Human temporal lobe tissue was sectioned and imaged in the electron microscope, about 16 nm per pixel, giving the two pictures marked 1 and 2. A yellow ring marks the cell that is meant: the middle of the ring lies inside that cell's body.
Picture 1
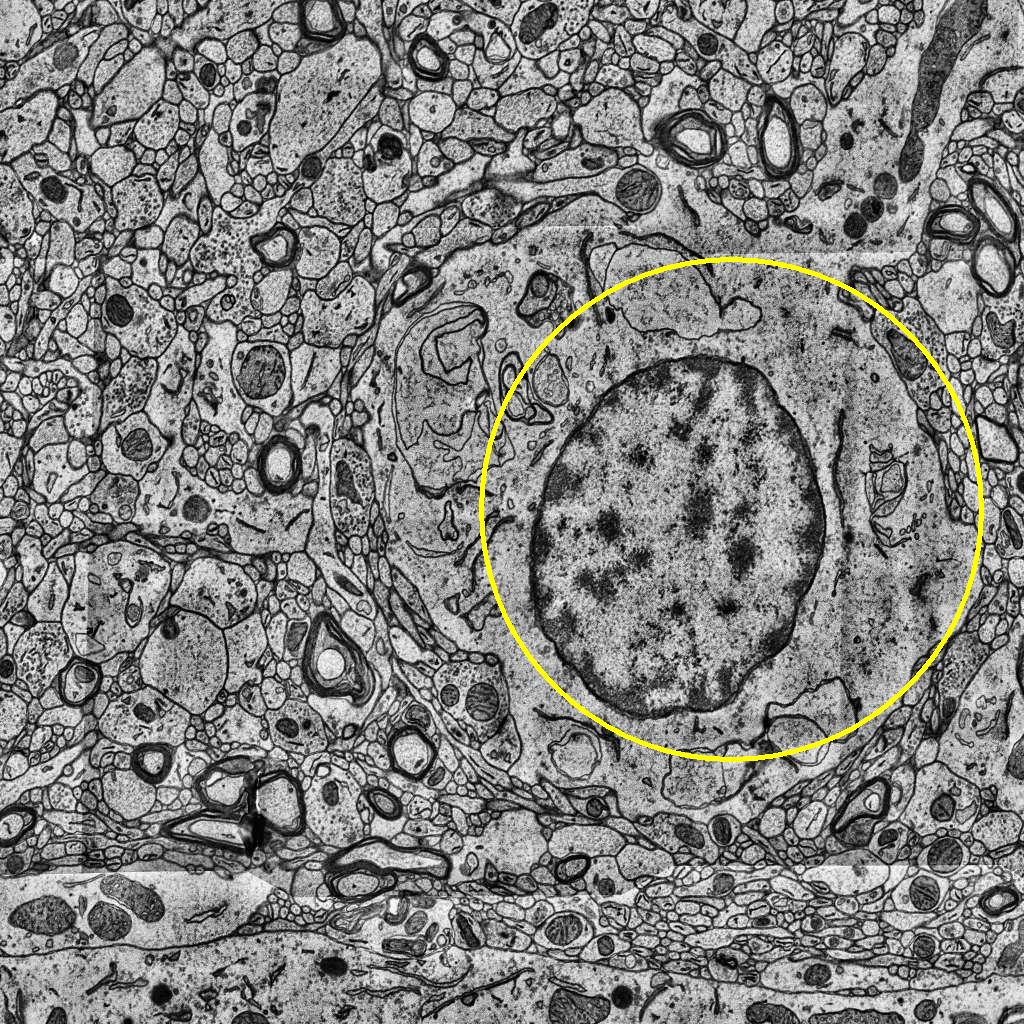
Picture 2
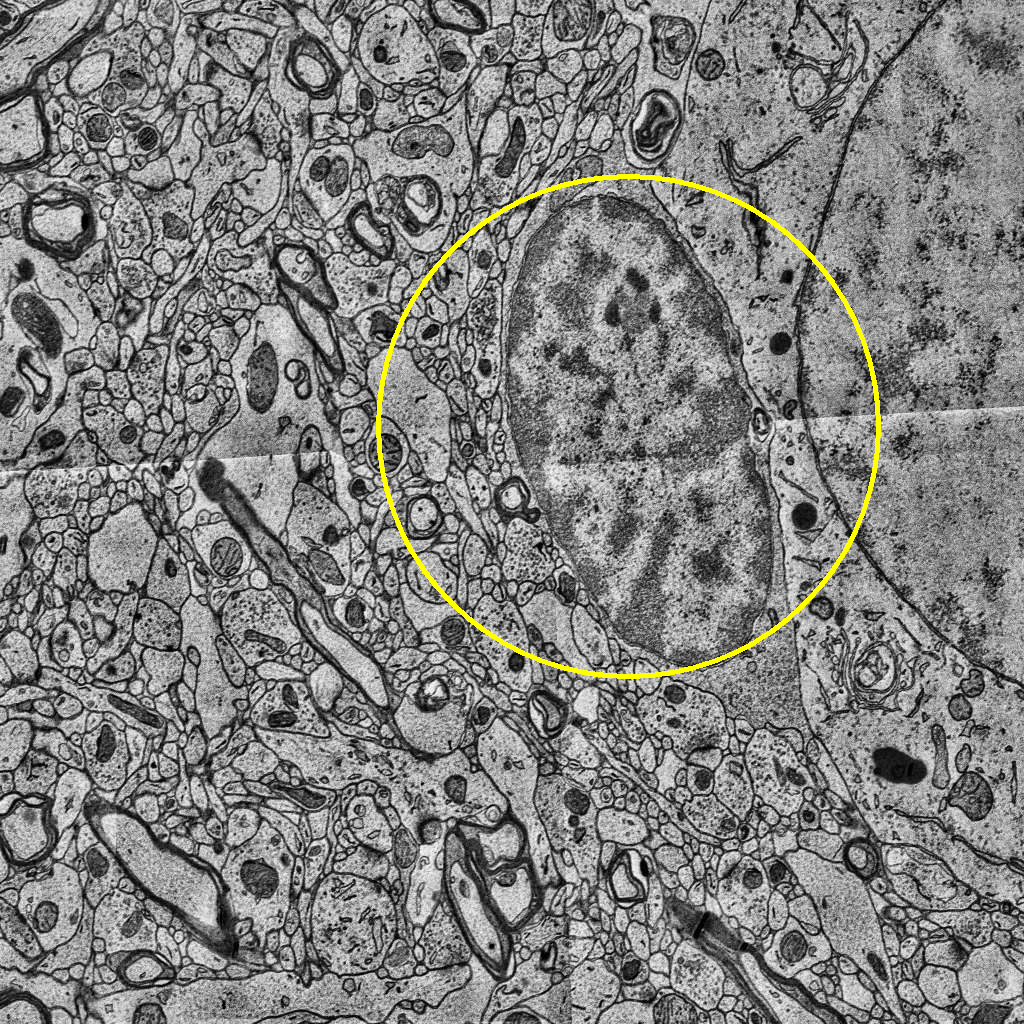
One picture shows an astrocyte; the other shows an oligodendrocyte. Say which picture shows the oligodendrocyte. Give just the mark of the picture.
2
